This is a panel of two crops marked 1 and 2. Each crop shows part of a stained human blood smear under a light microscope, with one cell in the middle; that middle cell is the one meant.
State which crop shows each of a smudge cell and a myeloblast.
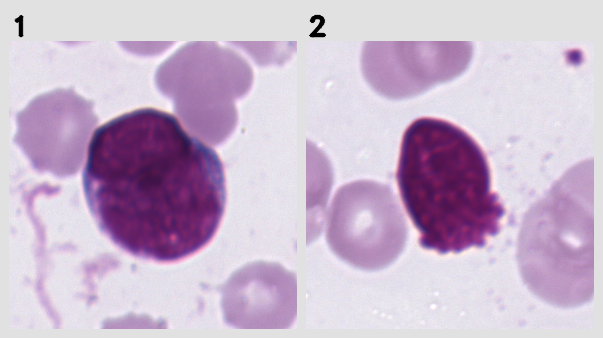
1: myeloblast
2: smudge cell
